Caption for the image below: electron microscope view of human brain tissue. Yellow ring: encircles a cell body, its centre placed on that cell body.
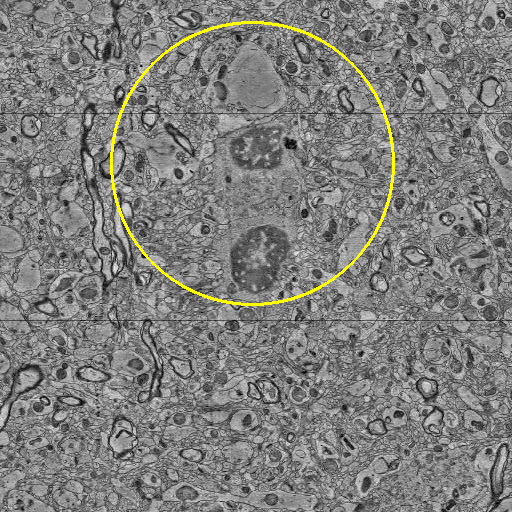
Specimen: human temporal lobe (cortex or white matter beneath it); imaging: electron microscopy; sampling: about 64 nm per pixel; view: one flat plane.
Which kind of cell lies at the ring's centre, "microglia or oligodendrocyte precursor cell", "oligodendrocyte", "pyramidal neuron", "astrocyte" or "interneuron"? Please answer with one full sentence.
The picture shows an oligodendrocyte at the centre of the yellow ring.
